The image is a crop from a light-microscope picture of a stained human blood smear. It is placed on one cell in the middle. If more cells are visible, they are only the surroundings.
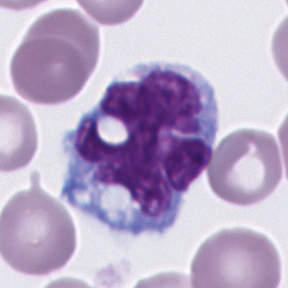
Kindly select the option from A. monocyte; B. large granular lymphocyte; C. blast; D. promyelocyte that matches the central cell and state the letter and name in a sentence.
In this crop the middle cell is a monocyte, so option A is the correct answer.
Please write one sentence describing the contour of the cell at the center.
A ragged or projecting edge replaces the smooth outline in this cell.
